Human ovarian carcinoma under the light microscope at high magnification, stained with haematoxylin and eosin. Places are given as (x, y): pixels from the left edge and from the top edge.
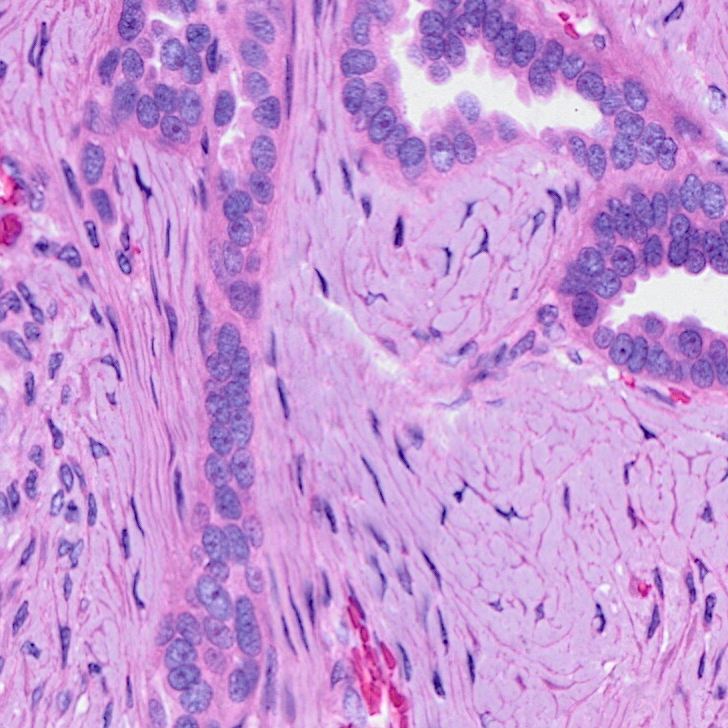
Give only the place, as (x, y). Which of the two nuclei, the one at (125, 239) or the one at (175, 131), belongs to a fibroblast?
(125, 239)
